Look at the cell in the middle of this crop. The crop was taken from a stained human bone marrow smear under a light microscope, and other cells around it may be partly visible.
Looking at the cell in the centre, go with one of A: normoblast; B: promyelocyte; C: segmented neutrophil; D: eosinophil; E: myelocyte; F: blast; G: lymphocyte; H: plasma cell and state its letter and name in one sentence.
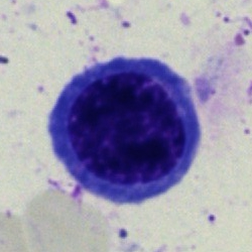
The correct choice is option A, which identifies the middle cell as a normoblast.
